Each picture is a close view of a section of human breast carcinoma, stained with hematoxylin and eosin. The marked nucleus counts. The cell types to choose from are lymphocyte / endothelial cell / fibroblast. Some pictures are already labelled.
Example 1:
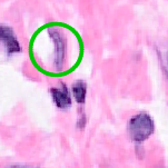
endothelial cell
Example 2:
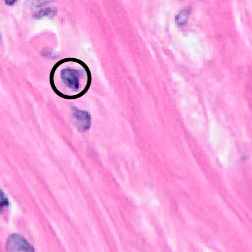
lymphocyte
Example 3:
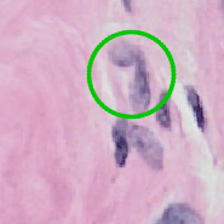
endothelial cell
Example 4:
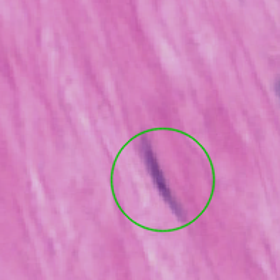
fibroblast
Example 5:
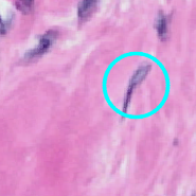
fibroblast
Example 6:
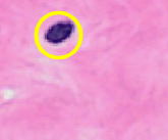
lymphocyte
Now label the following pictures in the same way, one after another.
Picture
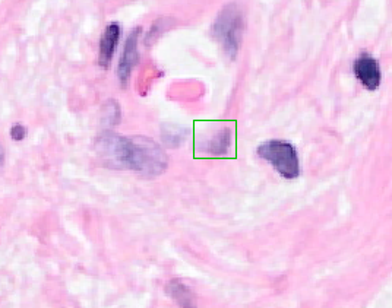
endothelial cell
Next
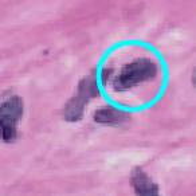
lymphocyte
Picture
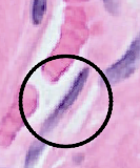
endothelial cell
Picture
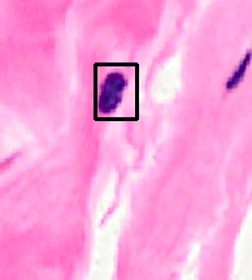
lymphocyte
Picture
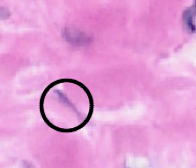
fibroblast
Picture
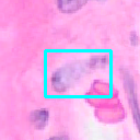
endothelial cell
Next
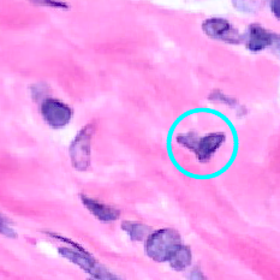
lymphocyte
